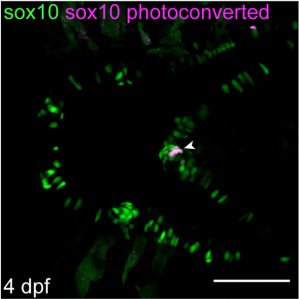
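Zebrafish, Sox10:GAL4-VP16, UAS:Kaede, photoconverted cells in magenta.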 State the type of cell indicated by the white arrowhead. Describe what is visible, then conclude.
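Chondrocytes. The green cells line up along rod-shaped elements of the jaw skeleton.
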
